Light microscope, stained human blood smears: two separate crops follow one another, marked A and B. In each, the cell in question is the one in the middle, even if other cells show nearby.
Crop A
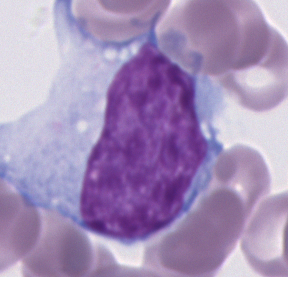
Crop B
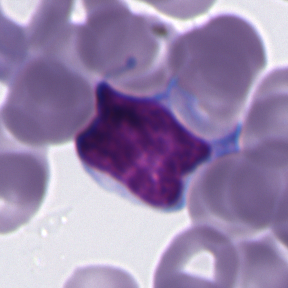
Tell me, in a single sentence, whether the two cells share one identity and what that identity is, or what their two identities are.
No, crop A gives us a myeloblast and crop B gives us a typical lymphocyte.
